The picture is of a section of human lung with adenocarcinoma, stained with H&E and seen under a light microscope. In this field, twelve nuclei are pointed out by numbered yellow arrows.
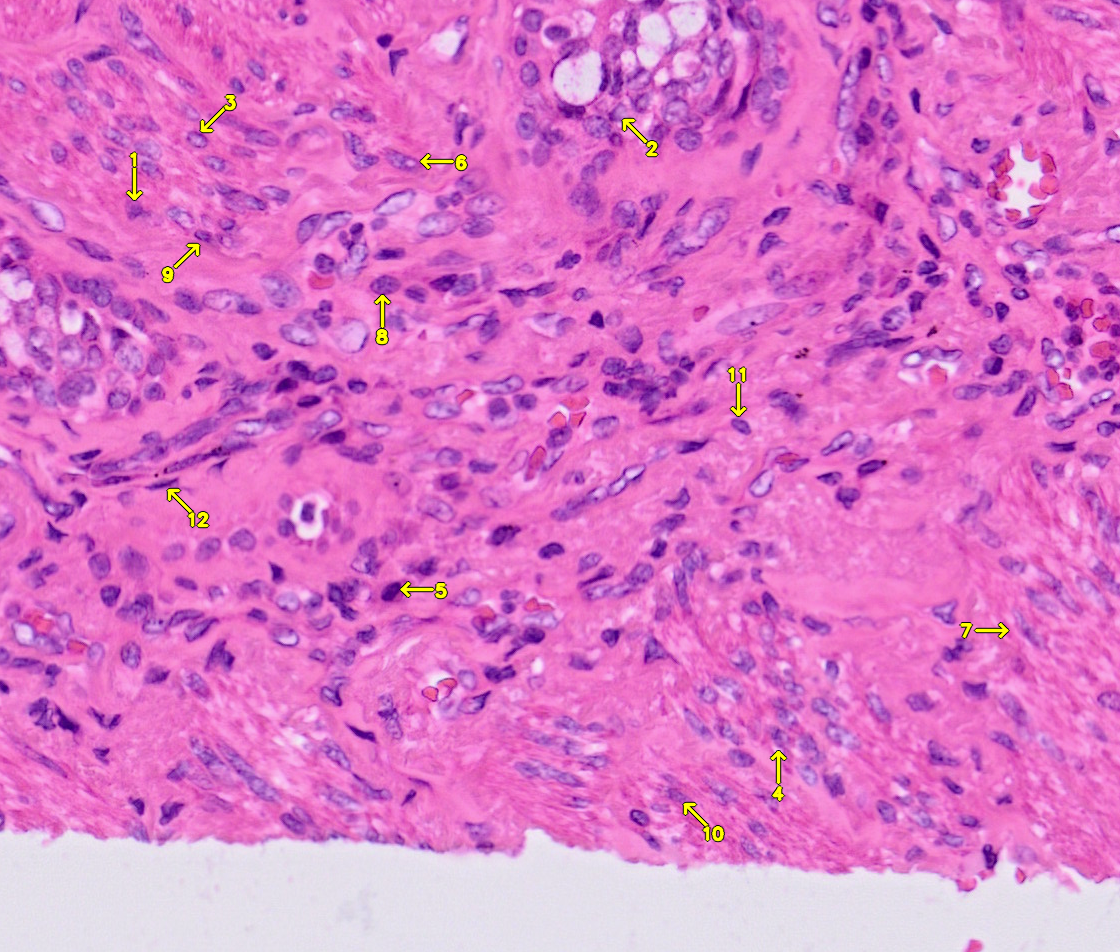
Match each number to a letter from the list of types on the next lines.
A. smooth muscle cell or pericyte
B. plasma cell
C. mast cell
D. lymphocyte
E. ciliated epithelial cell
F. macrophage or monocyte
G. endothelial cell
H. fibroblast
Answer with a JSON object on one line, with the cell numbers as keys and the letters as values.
{"1": "A", "2": "E", "3": "A", "4": "A", "5": "B", "6": "A", "7": "A", "8": "C", "9": "A", "10": "A", "11": "C", "12": "H"}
